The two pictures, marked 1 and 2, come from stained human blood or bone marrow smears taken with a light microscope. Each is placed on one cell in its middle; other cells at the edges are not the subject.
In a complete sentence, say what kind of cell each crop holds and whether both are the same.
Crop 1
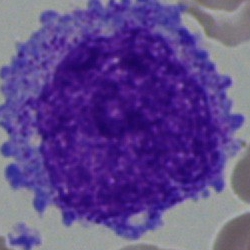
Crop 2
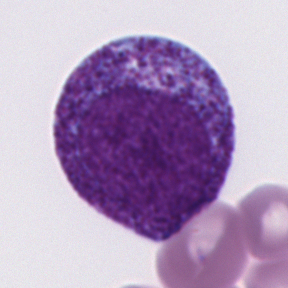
Yes, both crops have promyelocytes at the centre.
